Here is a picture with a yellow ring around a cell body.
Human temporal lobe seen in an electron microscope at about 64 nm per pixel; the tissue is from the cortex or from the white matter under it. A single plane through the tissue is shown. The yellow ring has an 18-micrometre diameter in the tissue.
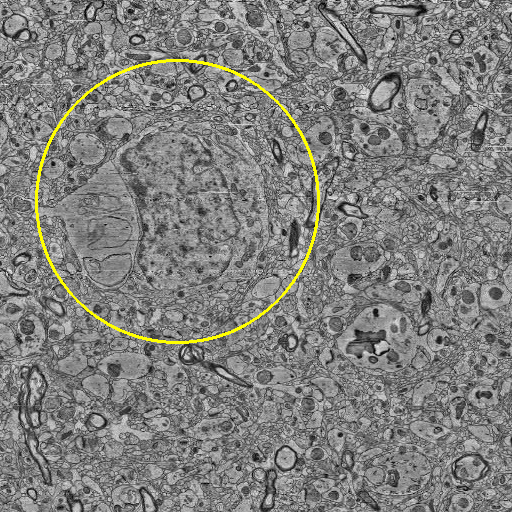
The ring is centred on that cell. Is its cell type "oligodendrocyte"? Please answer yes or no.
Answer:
no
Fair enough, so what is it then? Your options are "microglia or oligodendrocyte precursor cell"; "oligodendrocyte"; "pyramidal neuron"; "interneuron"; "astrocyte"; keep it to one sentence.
This picture has an interneuron at the centre of its ring.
